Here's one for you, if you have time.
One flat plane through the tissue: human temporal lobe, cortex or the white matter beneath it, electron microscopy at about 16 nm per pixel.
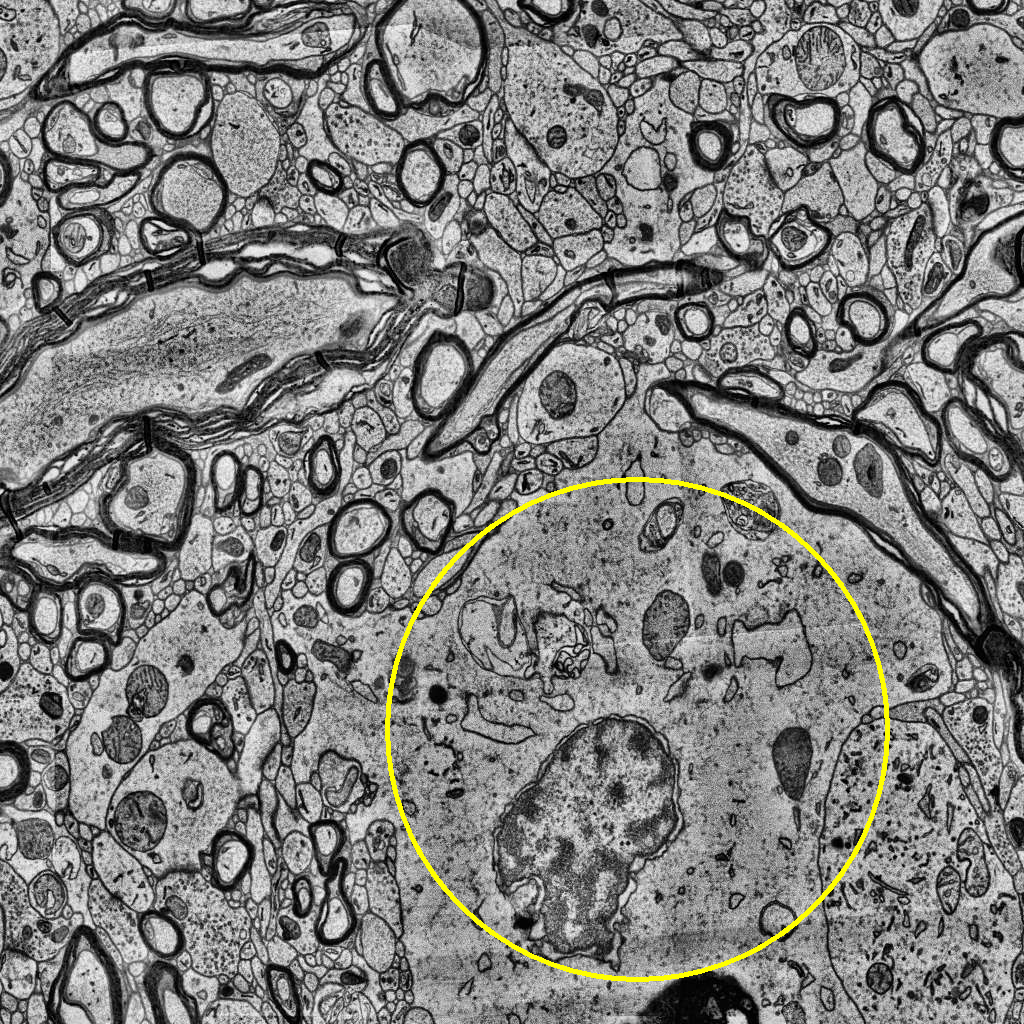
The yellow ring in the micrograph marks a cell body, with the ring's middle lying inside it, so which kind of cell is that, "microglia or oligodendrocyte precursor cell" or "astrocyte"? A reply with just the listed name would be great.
astrocyte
